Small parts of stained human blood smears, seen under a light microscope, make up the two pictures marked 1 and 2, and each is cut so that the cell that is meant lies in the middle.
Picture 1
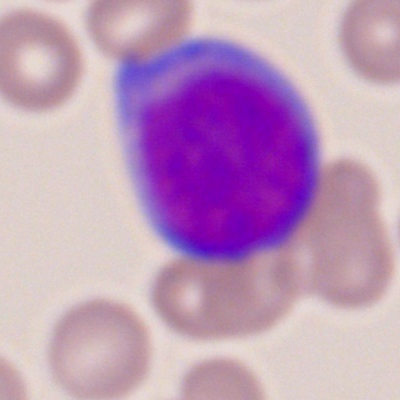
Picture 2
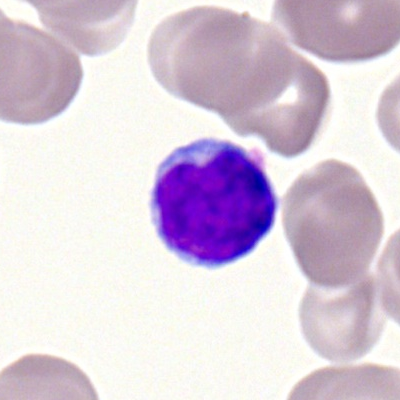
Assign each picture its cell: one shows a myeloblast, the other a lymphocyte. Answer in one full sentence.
Picture 2 shows a lymphocyte, while picture 1 shows a myeloblast.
